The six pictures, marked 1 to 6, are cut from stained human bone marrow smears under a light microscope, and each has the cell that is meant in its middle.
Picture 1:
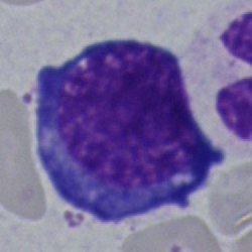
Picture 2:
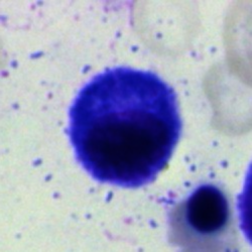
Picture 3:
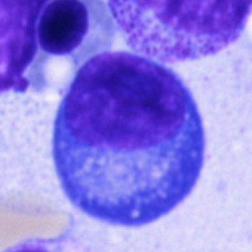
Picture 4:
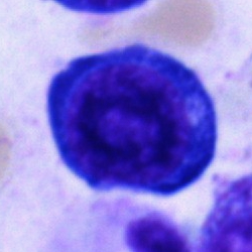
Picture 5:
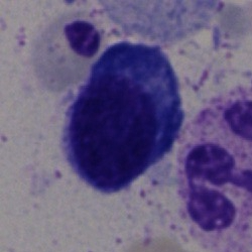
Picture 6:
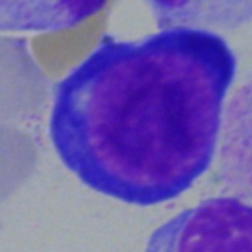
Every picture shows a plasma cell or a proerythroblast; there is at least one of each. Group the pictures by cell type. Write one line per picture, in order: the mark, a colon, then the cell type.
1: proerythroblast
2: plasma cell
3: plasma cell
4: proerythroblast
5: plasma cell
6: proerythroblast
